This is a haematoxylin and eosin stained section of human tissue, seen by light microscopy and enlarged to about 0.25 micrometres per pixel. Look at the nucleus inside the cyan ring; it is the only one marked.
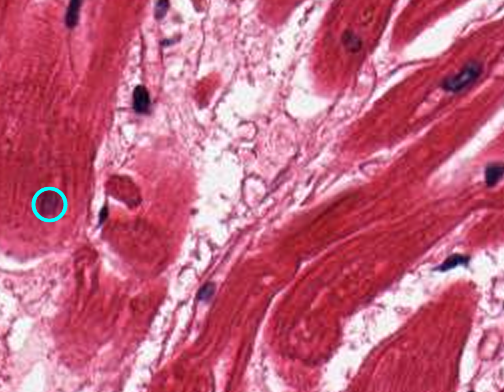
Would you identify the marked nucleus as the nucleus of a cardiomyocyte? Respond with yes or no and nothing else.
yes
